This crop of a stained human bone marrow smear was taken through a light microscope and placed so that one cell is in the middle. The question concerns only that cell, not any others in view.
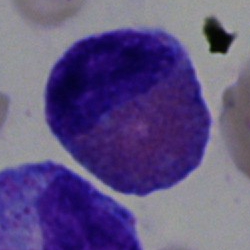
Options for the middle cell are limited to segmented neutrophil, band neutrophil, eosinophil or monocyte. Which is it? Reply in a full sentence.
The central cell in this smear crop is an eosinophil.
